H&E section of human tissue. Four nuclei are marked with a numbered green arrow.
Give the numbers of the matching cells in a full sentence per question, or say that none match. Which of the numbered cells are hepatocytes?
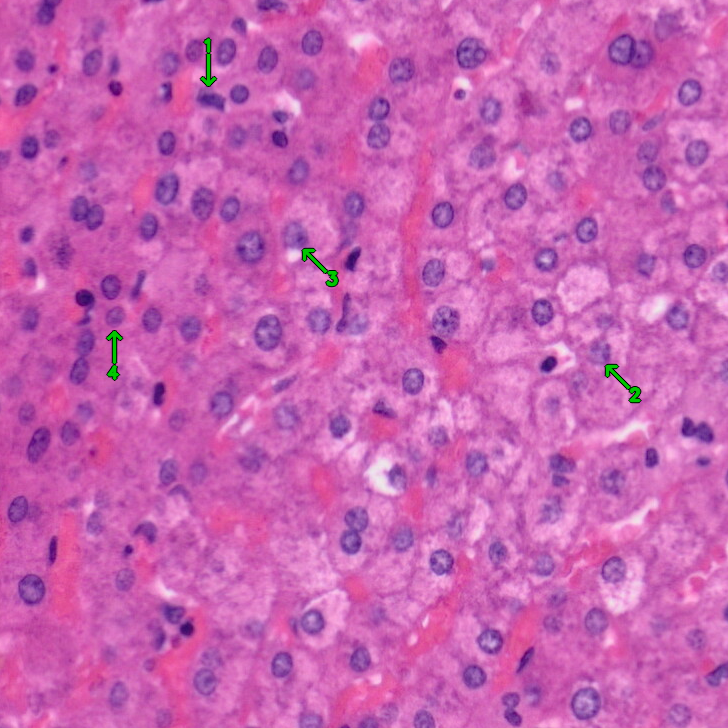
The cells referred to by numbers 2, 3 and 4 are hepatocytes.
